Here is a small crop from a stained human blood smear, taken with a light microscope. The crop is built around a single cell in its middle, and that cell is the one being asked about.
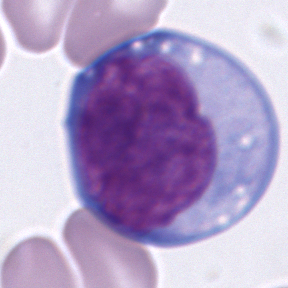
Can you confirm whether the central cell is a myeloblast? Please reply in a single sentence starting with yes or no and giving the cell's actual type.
Yes, the middle cell here is a myeloblast.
